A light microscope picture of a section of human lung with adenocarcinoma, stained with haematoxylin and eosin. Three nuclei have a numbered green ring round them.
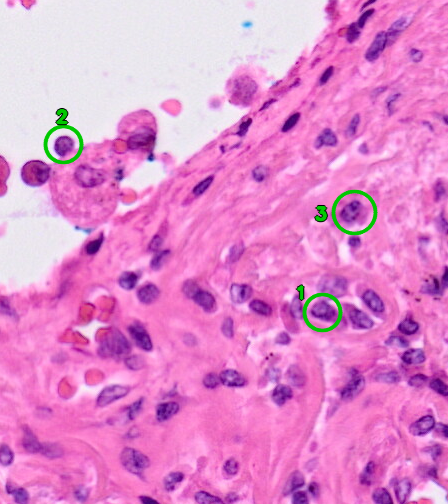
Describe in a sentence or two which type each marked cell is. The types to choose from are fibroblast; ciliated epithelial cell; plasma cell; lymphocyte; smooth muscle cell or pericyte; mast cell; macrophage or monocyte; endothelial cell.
Cell 1 is a plasma cell, cell 2 is a lymphocyte and cell 3 is a plasma cell.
